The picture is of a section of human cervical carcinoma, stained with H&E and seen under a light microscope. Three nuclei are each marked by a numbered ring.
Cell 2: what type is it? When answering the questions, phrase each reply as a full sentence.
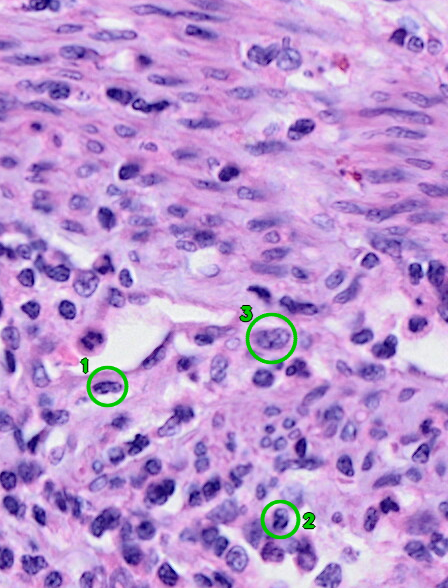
The cell identified by number 2 is a lymphocyte.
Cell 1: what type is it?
The mark numbered 1 indicates the nucleus of a lymphocyte.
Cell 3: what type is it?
The mark numbered 3 indicates the nucleus of a macrophage or monocyte.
